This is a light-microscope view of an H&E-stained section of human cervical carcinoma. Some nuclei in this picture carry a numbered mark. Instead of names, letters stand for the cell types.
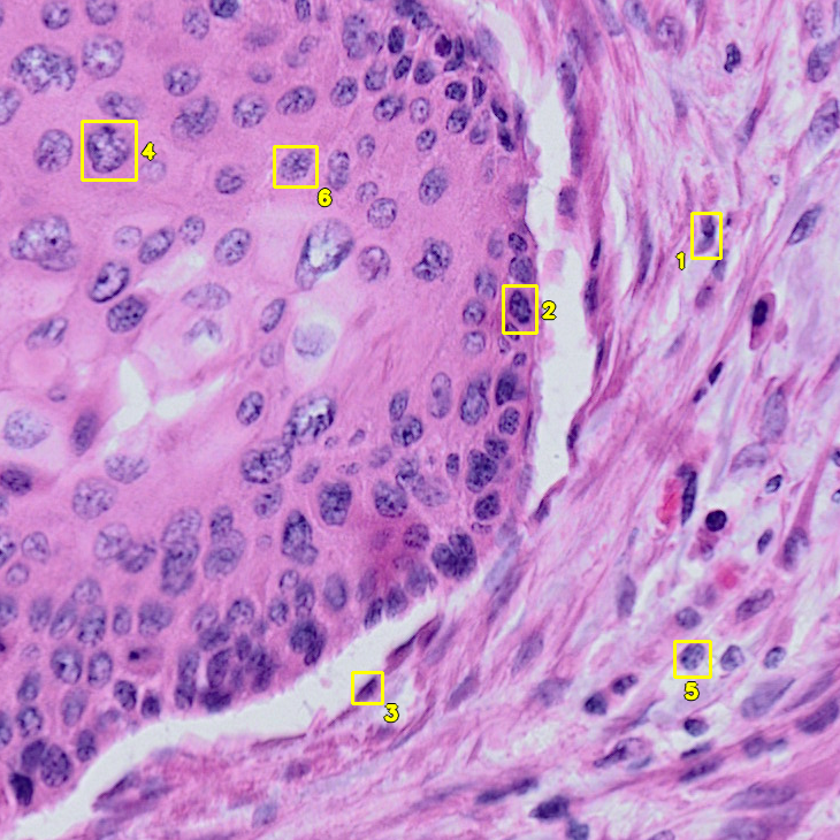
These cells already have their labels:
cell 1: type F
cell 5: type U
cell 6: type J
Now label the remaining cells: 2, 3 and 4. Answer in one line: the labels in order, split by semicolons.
type J; type F; type J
